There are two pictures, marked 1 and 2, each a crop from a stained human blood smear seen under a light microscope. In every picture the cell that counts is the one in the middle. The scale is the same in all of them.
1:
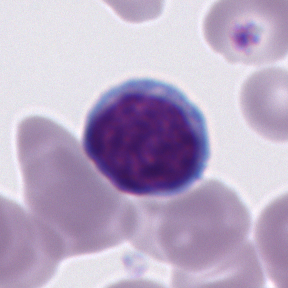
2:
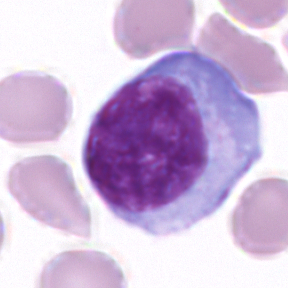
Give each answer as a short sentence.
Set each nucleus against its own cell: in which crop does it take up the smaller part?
The nucleus fills less of the cell in crop 2 than in crop 1.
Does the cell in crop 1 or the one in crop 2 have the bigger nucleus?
Crop 2 shows the larger nucleus; it covers about 1.5 times the area of the nucleus in crop 1.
